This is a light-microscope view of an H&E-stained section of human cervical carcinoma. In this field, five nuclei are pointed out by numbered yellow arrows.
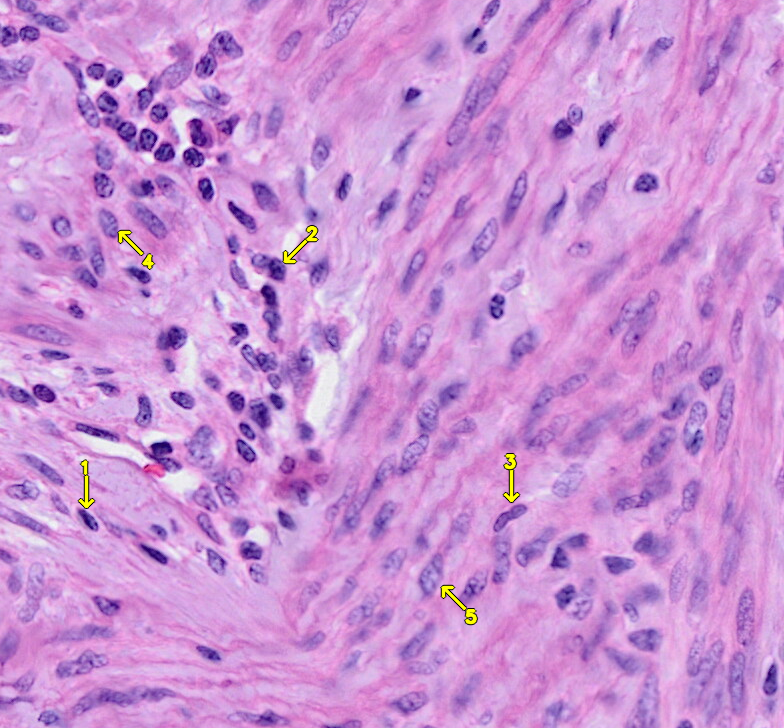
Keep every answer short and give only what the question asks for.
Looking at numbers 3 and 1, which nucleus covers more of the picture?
3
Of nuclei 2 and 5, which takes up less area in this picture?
2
